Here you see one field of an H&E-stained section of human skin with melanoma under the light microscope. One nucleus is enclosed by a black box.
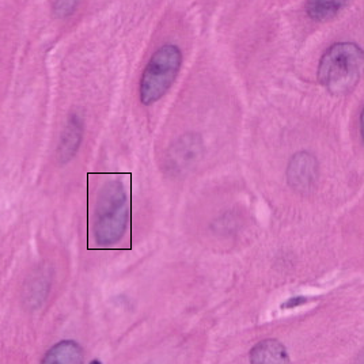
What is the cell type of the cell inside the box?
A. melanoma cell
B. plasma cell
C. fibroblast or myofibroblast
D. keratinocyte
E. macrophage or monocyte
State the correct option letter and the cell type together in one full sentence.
Among the choices, option D is correct, the cell inside the box being a keratinocyte.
